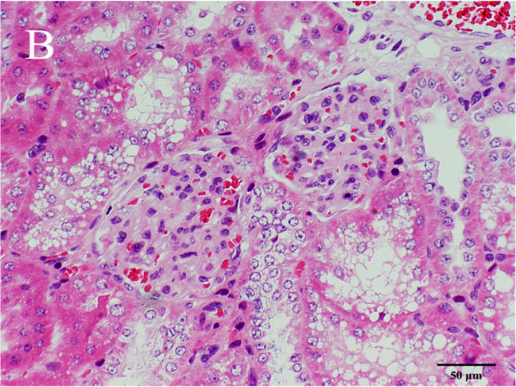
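Renal cortex with two glomeruli surrounded by tubules lined by renal tubular epithelial cells showing vacuolar degeneration. The glomeruli are rounded, cellular tufts with dark purple nuclei and scattered red blood cells, enclosed by a thin capsule. Some tubules at the edges keep a denser pink cytoplasm. A small vessel with packed red cells lies at the upper edge.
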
